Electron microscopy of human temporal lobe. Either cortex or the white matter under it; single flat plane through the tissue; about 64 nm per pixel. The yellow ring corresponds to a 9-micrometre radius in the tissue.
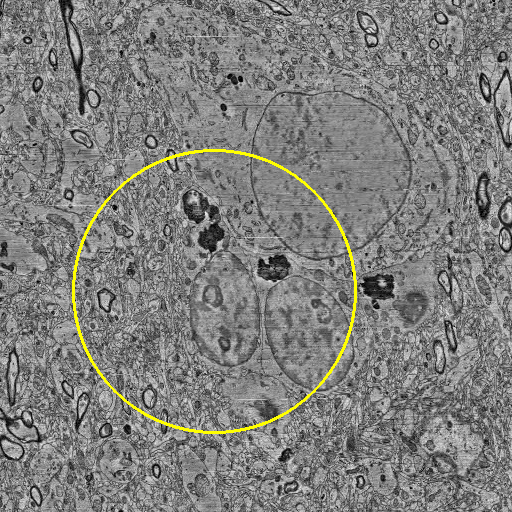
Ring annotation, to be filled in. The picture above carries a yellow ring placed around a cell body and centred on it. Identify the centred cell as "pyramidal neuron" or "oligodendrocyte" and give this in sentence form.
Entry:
The cell in the middle of the ring is an oligodendrocyte.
